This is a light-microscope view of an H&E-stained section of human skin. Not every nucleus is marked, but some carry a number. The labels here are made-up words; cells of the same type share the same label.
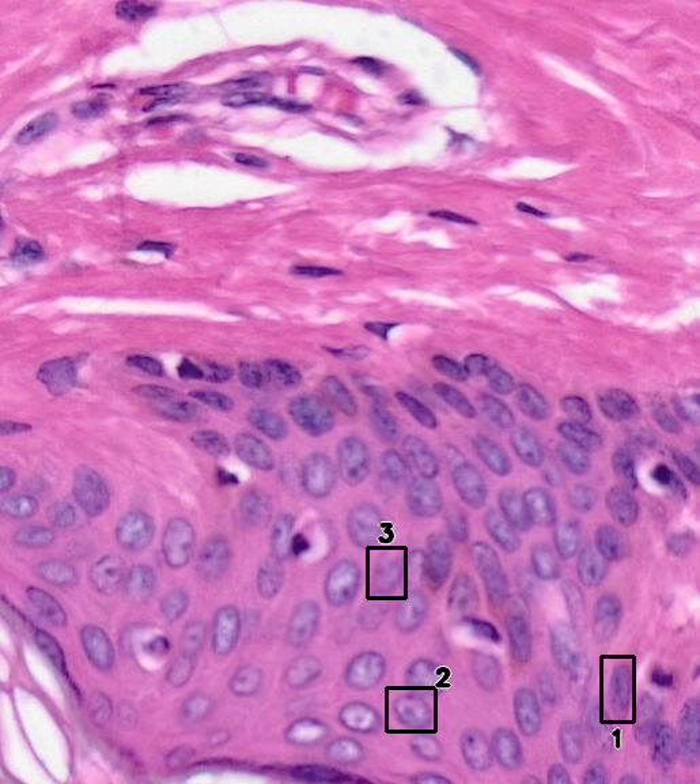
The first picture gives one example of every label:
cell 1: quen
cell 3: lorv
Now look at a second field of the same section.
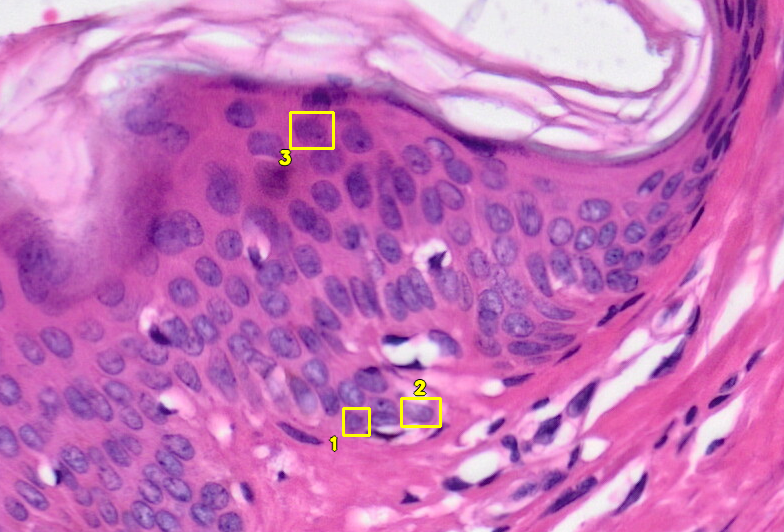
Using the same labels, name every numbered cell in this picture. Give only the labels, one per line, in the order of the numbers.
quen
quen
lorv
